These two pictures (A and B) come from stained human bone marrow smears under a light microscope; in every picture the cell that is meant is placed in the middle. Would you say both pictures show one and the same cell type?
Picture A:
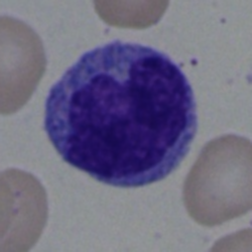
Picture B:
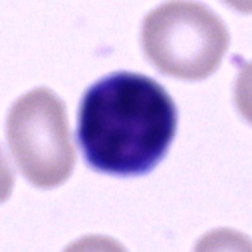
no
